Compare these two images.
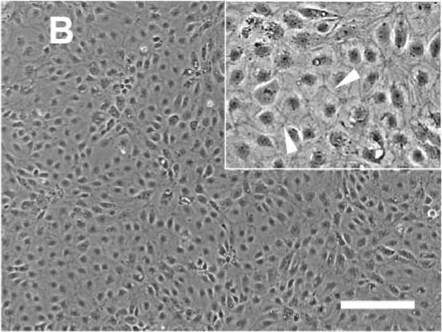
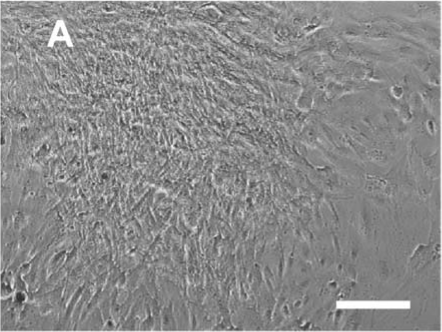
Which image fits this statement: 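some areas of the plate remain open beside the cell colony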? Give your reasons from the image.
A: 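The second image. First image: cells cover the whole field evenly with no open areas. Second image: a dense colony on the left gives way to sparser, open substrate toward the right.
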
